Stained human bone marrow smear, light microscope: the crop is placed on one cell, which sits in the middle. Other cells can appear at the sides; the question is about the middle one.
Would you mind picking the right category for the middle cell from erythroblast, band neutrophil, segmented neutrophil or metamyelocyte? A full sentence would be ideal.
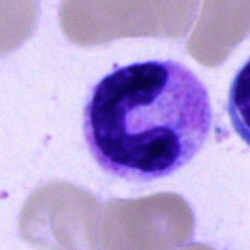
The cell in the middle of the field of view is a band neutrophil.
